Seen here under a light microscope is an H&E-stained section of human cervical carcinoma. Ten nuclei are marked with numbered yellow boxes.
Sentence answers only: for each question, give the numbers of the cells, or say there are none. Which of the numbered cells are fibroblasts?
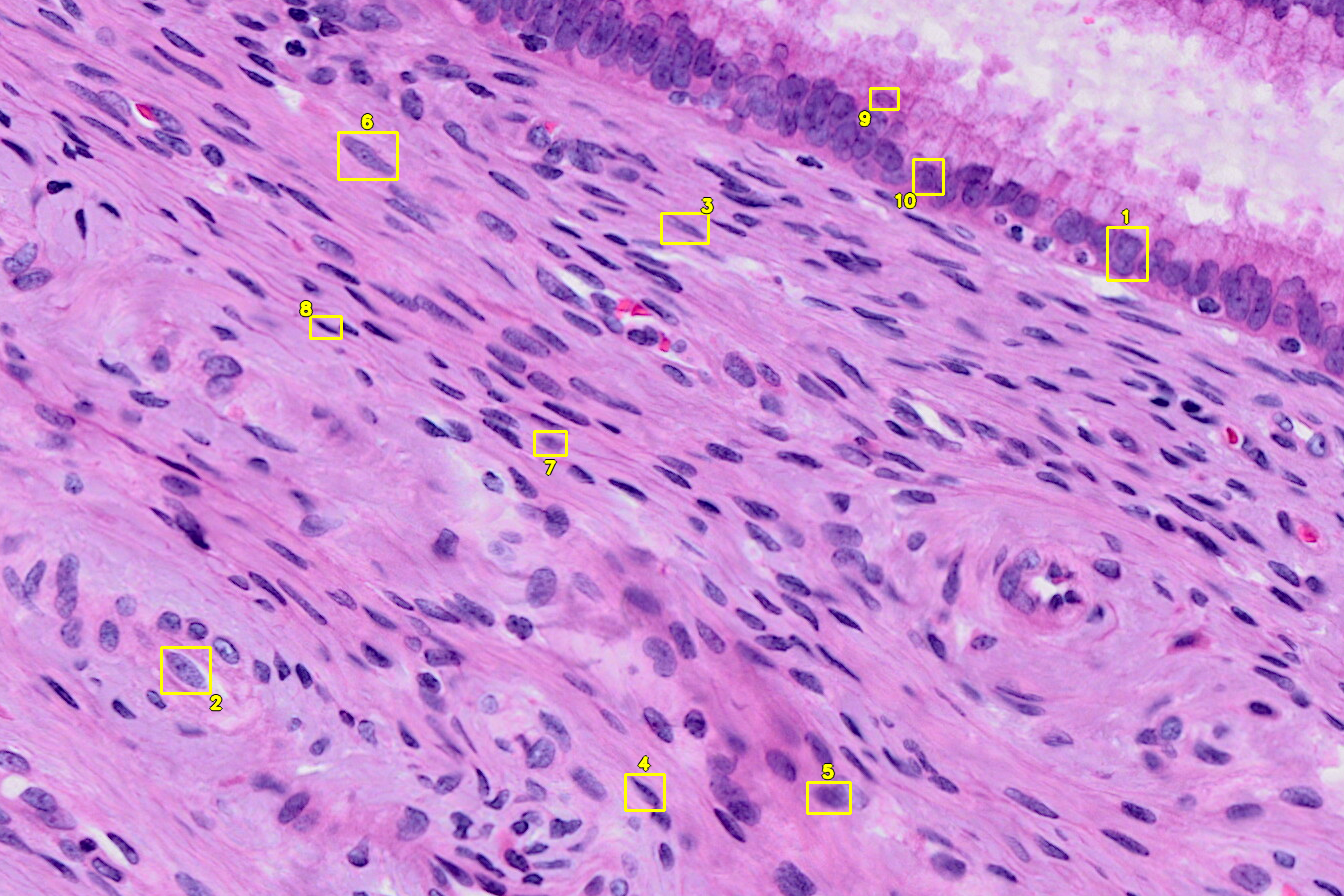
Cells 3, 4, 5, 6, 7 and 8 are classified as fibroblasts.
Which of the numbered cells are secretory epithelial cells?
Classified as secretory epithelial cells are the cells numbered 1, 9 and 10.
